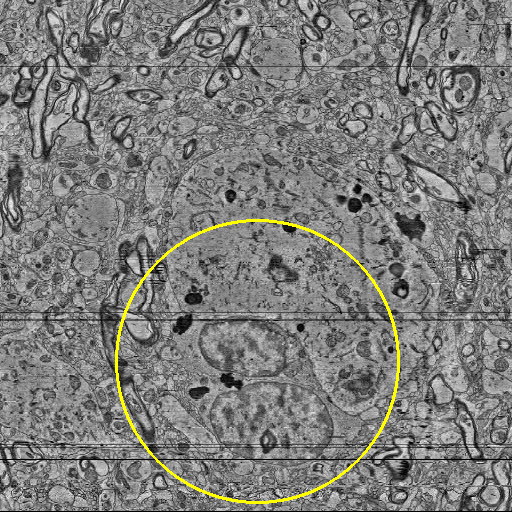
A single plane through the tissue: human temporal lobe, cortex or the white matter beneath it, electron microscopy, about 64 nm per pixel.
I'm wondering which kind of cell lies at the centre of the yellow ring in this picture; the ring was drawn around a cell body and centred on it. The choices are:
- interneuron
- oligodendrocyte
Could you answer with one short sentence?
At the centre of the ring lies an oligodendrocyte.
